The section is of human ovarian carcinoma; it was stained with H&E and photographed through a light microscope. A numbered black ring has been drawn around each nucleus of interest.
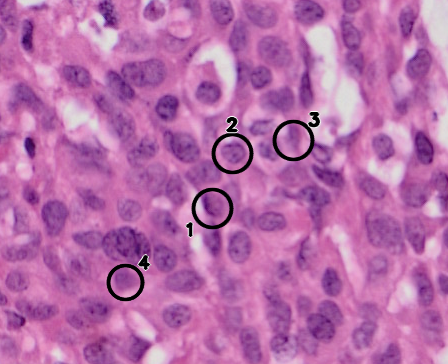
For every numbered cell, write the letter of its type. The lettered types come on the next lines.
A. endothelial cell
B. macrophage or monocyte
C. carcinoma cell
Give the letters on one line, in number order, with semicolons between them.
C; B; C; C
